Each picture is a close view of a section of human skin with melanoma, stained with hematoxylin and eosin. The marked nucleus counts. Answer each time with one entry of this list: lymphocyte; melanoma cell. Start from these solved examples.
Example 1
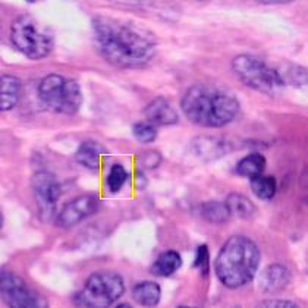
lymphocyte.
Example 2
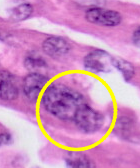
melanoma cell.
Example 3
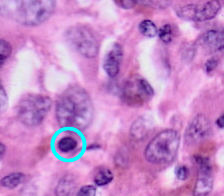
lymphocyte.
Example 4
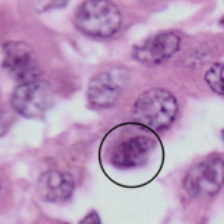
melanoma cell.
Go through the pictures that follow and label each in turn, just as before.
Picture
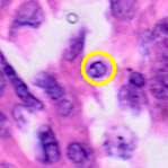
lymphocyte.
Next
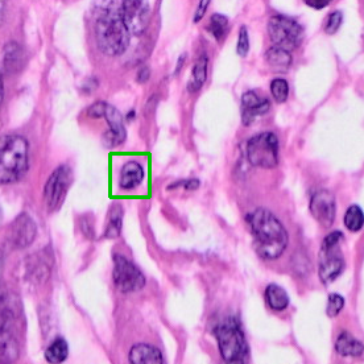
lymphocyte.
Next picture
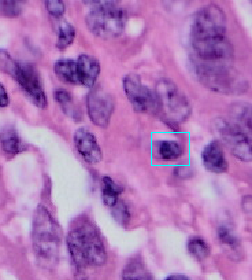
lymphocyte.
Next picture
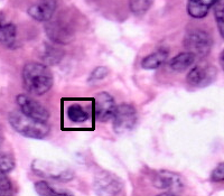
lymphocyte.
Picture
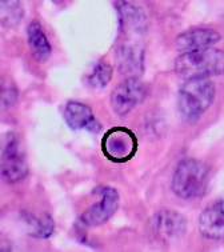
lymphocyte.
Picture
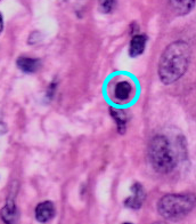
lymphocyte.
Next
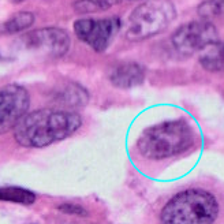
melanoma cell.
